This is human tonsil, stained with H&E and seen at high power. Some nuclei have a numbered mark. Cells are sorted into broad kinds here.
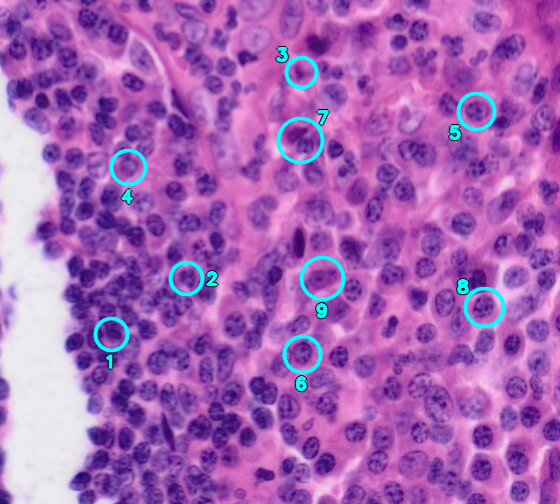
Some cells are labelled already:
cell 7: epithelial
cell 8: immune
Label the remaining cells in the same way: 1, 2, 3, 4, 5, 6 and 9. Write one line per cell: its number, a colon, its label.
1: immune
2: immune
3: epithelial
4: immune
5: immune
6: immune
9: epithelial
